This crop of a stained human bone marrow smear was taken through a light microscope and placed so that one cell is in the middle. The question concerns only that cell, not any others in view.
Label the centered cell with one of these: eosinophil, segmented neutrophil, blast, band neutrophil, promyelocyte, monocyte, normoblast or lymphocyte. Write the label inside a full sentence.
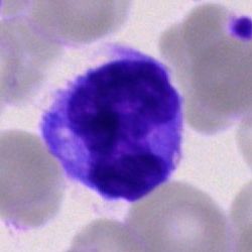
The cell nearest the centre of this crop is a monocyte.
